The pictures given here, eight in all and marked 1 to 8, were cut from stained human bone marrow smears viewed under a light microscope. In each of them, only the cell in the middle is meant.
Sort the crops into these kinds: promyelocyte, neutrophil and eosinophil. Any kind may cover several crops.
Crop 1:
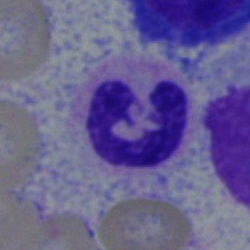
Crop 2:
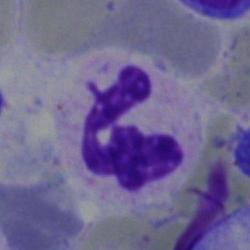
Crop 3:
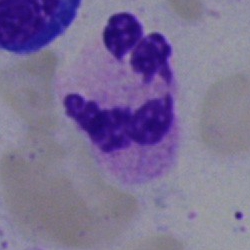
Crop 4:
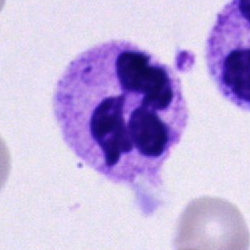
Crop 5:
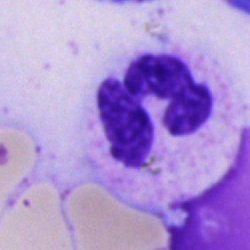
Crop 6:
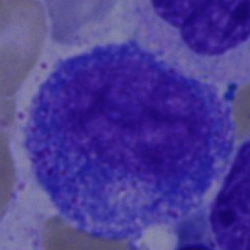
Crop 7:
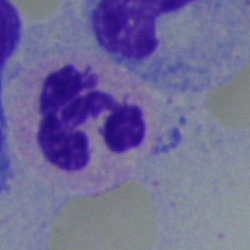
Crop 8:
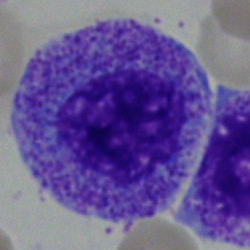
1: neutrophil
2: neutrophil
3: neutrophil
4: neutrophil
5: neutrophil
6: promyelocyte
7: neutrophil
8: promyelocyte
